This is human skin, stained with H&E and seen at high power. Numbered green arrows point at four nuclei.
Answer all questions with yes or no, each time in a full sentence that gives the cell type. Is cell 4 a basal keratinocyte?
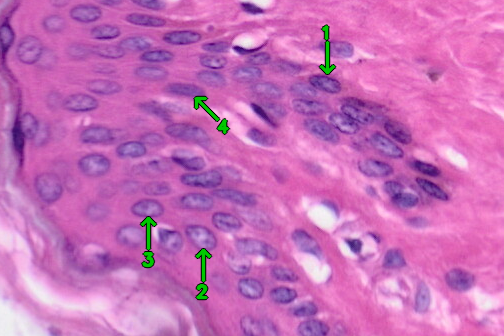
Yes, the numbered cell 4 is a basal keratinocyte.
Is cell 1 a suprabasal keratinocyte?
No, cell 1 is classified as a basal keratinocyte rather than a suprabasal keratinocyte.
